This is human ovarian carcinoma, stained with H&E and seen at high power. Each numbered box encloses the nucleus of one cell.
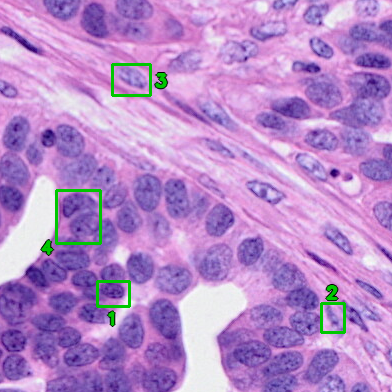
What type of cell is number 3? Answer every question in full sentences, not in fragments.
The cell identified by number 3 is a fibroblast.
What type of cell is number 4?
The correct label for cell 4 is a carcinoma cell.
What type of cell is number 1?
Cell 1 in the field is a carcinoma cell.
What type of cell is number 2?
That cell with number 2 is a fibroblast.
